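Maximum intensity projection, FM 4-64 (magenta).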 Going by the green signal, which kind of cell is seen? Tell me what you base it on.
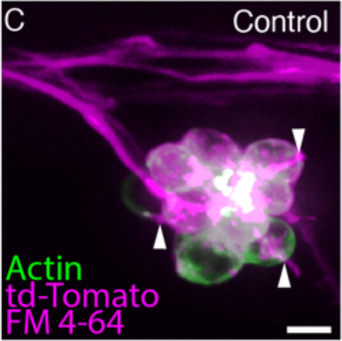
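The cluster sits at the end of thin magenta nerve fibers.
Hair cells.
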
